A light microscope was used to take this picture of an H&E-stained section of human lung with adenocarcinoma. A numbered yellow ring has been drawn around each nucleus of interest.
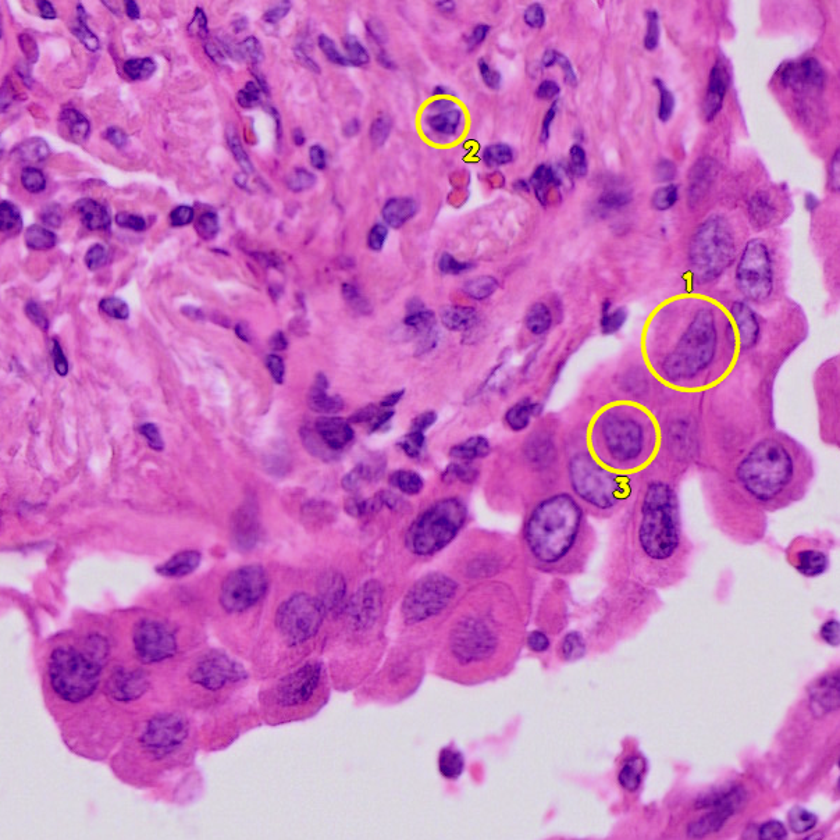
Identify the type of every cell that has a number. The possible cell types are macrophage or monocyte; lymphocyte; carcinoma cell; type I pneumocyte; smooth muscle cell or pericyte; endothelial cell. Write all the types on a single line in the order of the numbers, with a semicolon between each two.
carcinoma cell; lymphocyte; carcinoma cell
